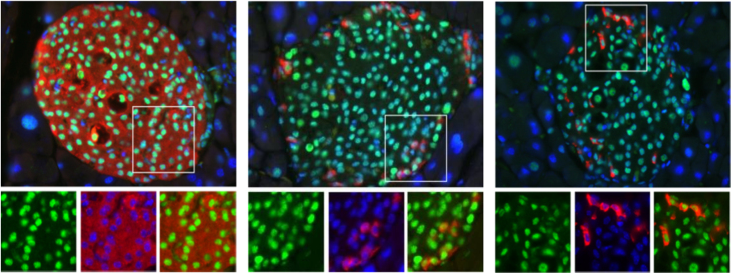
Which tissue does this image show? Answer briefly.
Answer: islets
